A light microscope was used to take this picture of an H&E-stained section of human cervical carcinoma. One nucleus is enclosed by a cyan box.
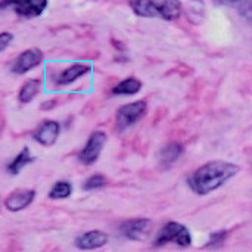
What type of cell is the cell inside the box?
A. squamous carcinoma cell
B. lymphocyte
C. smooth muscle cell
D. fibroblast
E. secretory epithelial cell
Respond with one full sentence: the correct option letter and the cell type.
That the cell inside the box is a smooth muscle cell makes option C the correct choice.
